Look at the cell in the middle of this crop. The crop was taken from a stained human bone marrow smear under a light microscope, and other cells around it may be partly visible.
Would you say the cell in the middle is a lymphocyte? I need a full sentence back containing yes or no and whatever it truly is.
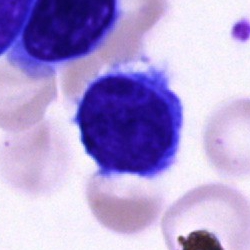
Yes, the cell centred in the field of view is a lymphocyte.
